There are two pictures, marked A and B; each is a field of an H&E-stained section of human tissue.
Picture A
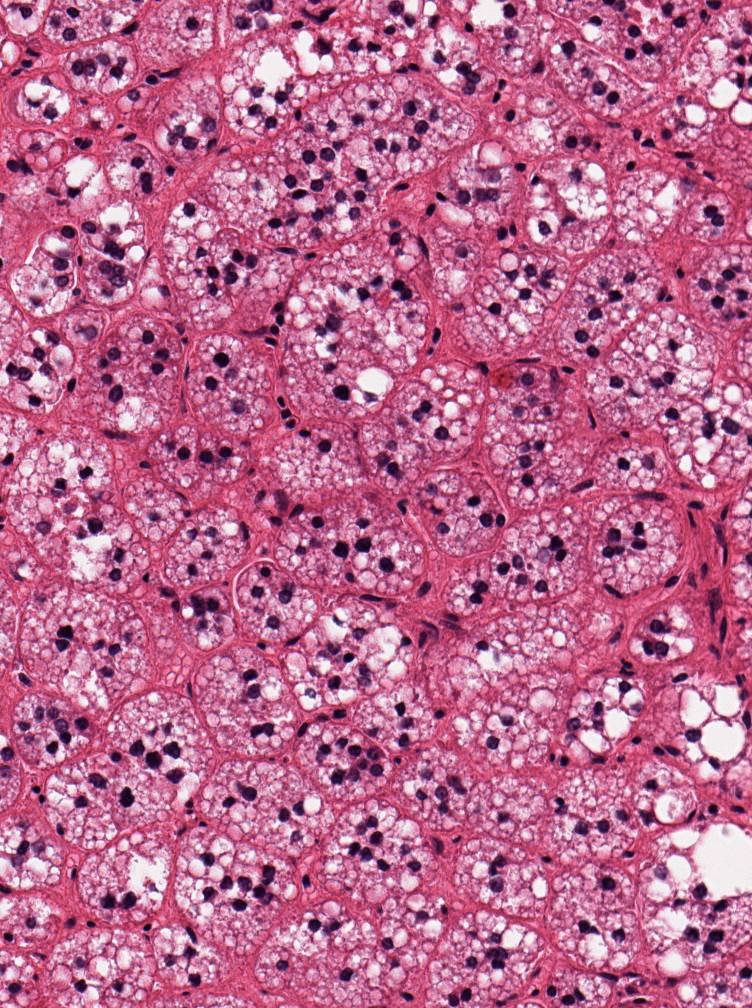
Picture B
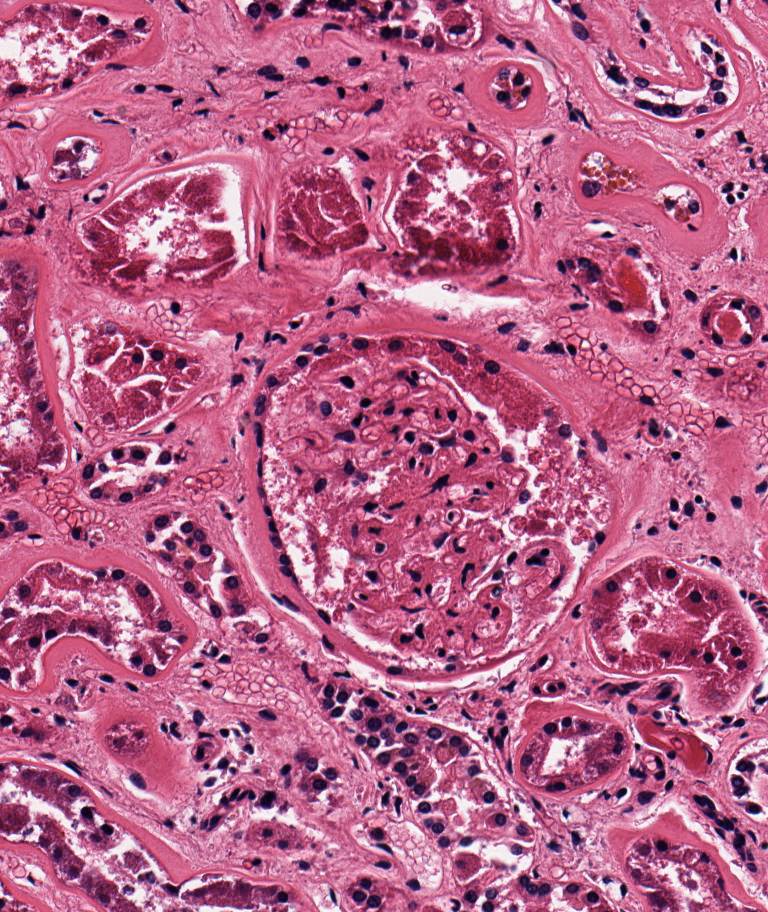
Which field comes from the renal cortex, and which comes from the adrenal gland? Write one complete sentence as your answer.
It is picture A that comes from the adrenal gland, and picture B that comes from the renal cortex.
